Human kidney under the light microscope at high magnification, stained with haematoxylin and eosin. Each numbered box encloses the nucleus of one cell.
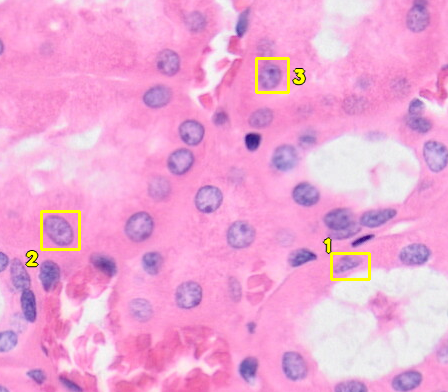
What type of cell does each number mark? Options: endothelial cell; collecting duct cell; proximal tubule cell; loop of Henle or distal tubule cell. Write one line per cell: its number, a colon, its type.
1: loop of Henle or distal tubule cell
2: proximal tubule cell
3: proximal tubule cell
